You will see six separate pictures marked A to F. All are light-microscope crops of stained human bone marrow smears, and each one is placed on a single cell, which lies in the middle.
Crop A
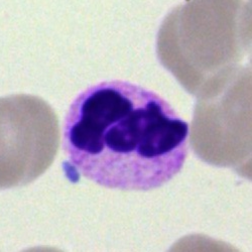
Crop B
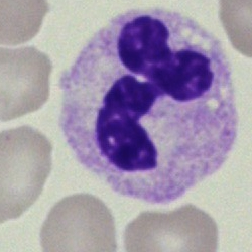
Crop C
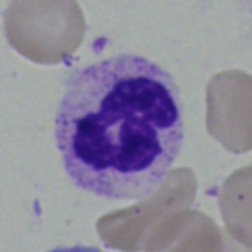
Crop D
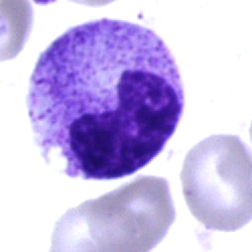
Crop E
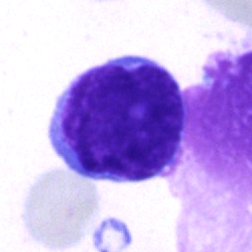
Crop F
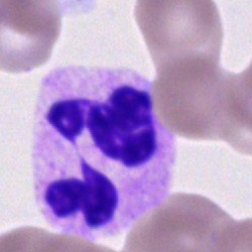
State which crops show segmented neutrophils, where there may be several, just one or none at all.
A, B, C, F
